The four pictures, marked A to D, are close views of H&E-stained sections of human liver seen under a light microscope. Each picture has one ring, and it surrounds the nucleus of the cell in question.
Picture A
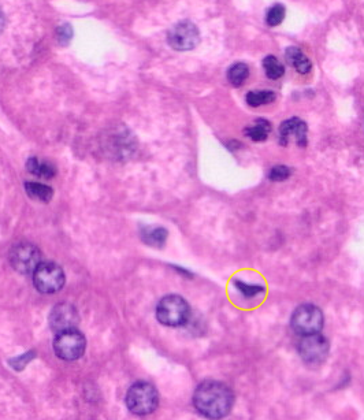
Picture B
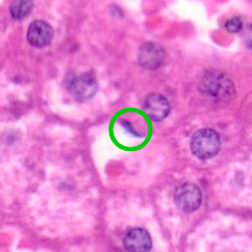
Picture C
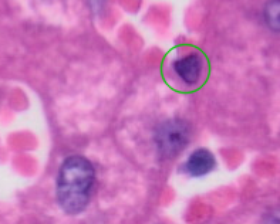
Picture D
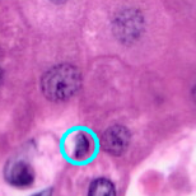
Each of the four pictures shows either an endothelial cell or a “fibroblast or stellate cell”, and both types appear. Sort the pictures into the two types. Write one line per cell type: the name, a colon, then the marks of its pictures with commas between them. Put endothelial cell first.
endothelial cell: A, B
fibroblast or stellate cell: C, D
